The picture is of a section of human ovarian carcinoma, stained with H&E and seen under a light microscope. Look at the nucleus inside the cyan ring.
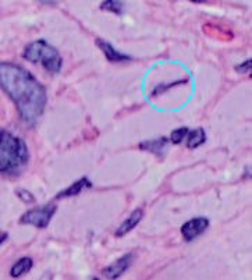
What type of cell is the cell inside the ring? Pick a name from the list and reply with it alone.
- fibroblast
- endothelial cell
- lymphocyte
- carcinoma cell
fibroblast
